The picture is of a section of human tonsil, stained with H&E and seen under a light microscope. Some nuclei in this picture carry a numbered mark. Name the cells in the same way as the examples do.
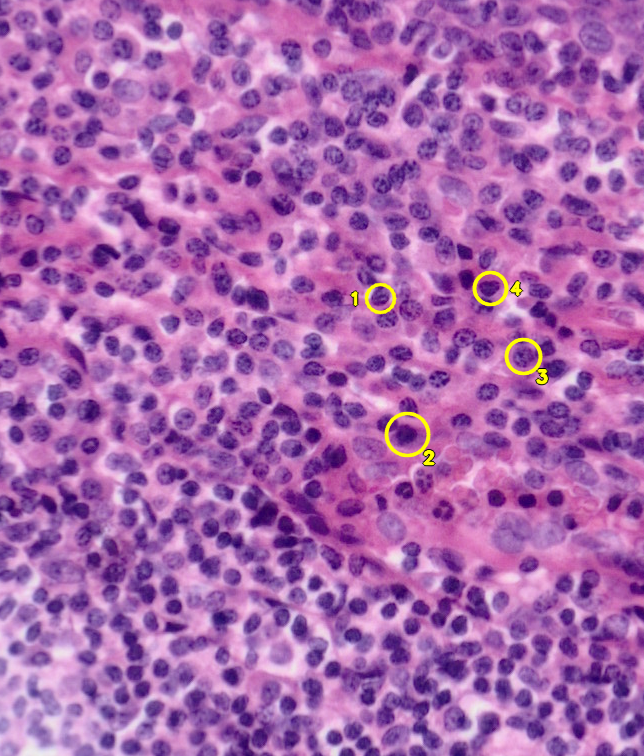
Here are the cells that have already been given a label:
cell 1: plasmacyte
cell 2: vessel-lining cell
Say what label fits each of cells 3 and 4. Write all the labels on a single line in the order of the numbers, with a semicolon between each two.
plasmacyte; plasmacyte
